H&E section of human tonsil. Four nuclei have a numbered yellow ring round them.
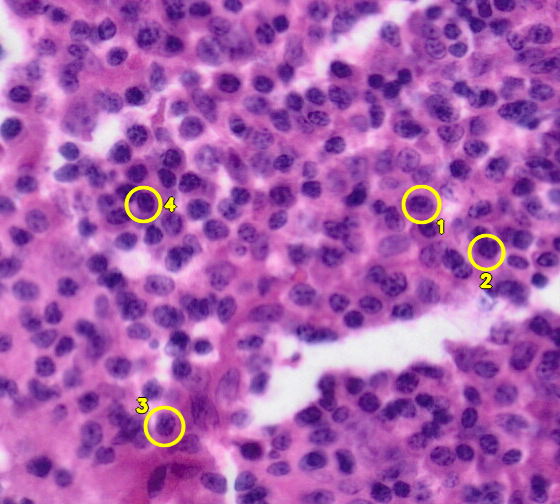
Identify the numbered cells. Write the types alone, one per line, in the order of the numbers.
plasma cell
plasma cell
squamous epithelial cell
plasma cell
